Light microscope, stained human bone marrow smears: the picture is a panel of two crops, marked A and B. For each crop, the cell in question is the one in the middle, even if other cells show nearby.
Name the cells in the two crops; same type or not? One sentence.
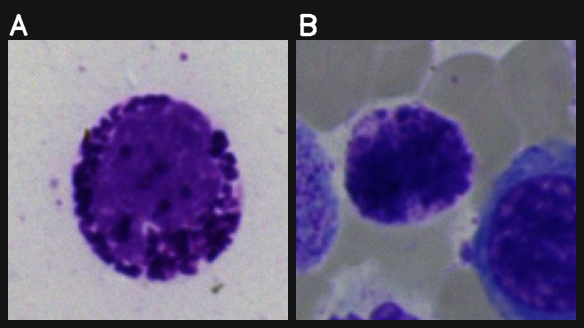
Yes, both crops show basophils, the one and the other.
